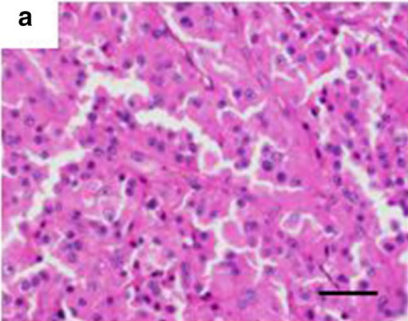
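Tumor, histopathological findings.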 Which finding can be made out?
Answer: Solid growth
